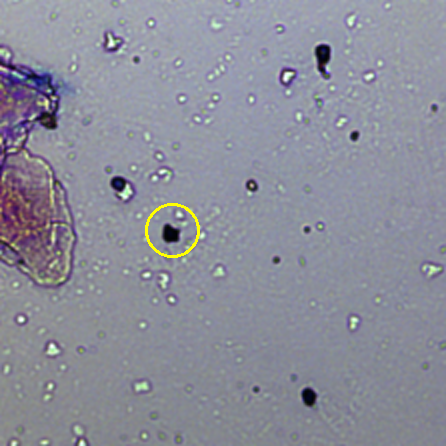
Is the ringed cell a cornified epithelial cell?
No, it is a leukocyte.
